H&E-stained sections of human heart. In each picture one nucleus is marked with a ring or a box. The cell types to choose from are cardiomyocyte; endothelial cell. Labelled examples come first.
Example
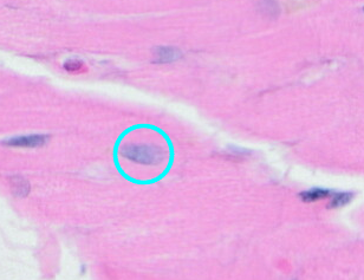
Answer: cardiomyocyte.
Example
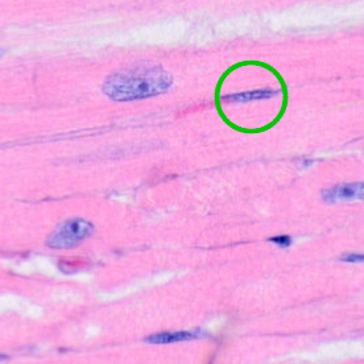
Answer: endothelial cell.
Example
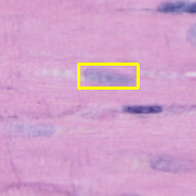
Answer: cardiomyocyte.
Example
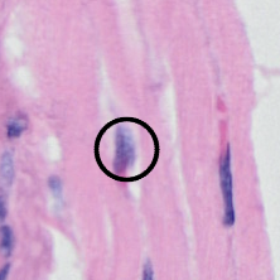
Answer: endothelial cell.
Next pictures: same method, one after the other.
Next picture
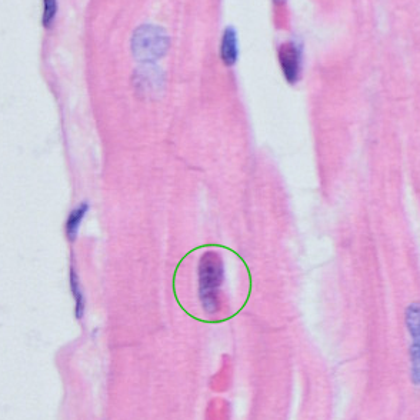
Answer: endothelial cell.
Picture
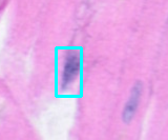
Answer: endothelial cell.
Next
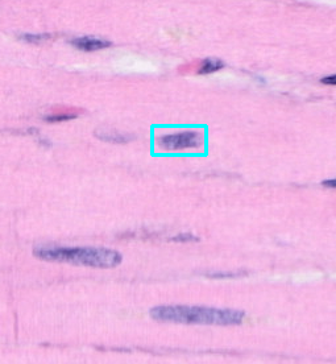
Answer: endothelial cell.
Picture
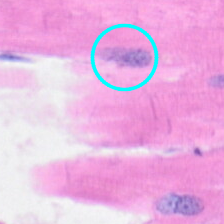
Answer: cardiomyocyte.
